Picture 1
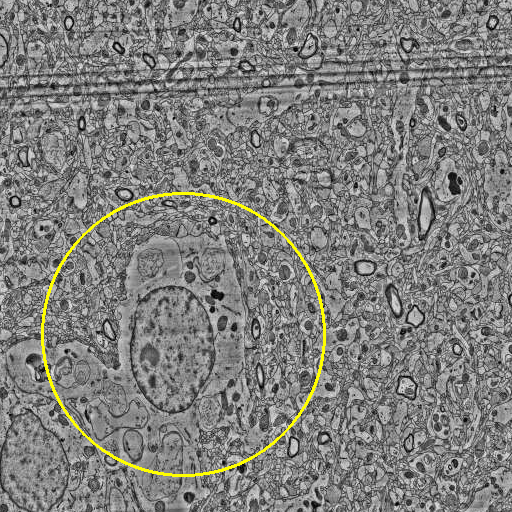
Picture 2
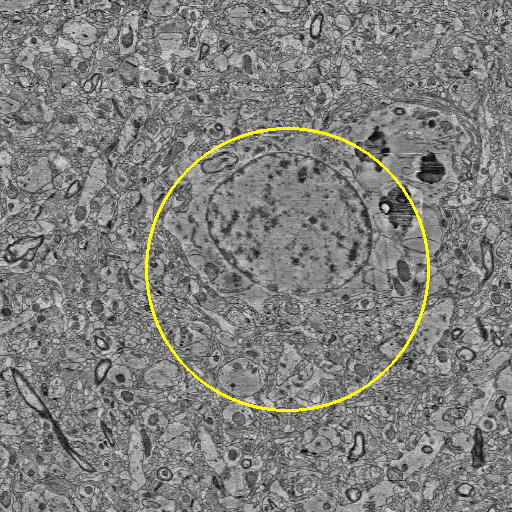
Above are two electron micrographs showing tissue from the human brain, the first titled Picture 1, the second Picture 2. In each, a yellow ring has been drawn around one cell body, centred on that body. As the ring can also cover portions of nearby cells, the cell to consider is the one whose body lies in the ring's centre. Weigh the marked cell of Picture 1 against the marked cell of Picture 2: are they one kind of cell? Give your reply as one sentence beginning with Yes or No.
Yes, the two cells sitting at the ring centres in the pictures are of one kind.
